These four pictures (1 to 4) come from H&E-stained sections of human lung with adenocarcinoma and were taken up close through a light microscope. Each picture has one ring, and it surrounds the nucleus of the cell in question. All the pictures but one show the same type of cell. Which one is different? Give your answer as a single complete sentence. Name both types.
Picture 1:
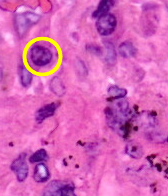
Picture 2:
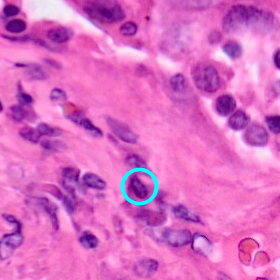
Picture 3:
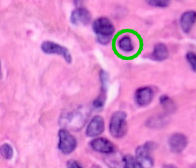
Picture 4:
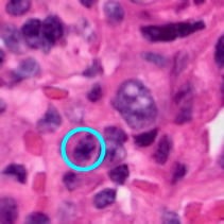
The different one is picture 3; it shows a lymphocyte, whereas all the others show plasma cells.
